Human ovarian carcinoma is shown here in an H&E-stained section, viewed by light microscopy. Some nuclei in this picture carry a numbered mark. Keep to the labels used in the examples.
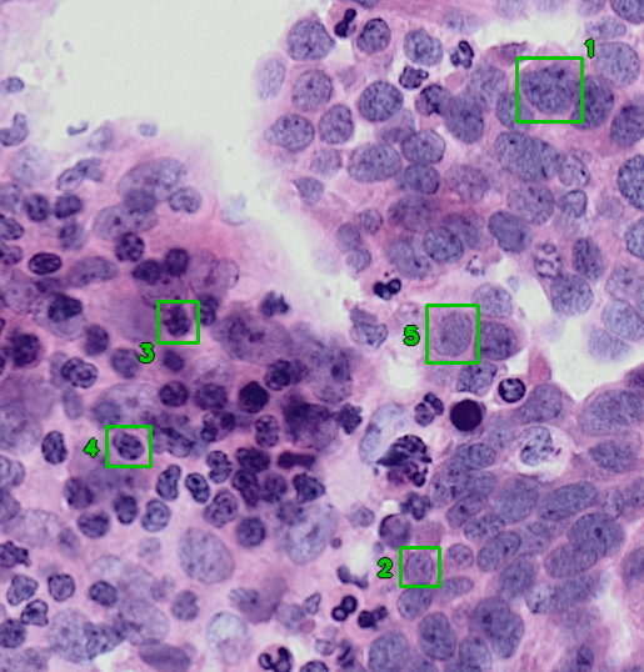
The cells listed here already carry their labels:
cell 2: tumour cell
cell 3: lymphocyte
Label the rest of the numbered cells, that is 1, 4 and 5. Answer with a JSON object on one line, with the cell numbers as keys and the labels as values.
{"1": "tumour cell", "4": "lymphocyte", "5": "tumour cell"}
